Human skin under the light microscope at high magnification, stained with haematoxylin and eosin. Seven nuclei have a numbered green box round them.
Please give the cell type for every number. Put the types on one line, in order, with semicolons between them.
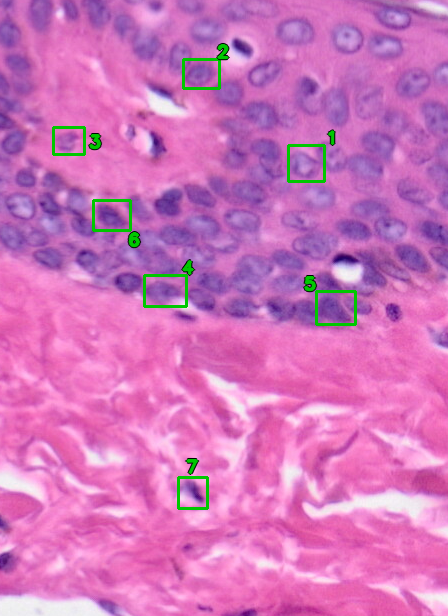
suprabasal keratinocyte; basal keratinocyte; fibroblast; basal keratinocyte; basal keratinocyte; basal keratinocyte; fibroblast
